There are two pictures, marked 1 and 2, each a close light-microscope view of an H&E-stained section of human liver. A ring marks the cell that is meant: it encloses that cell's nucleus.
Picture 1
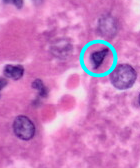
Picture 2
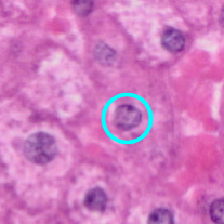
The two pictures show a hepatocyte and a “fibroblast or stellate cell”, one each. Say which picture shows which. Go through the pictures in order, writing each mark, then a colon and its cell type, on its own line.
1: fibroblast or stellate cell
2: hepatocyte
